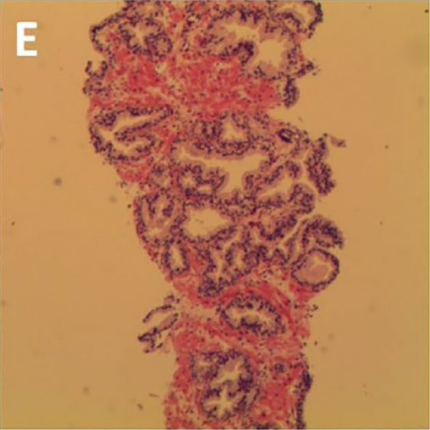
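This is a strip of prostate tissue crowded with many glands of different sizes and shapes, with pink stroma lying between them. The glands are lined by epithelium with dark purple nuclei, and the linings fold inward into the lumens in papillary projections, giving the glands an irregular, scalloped outline.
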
